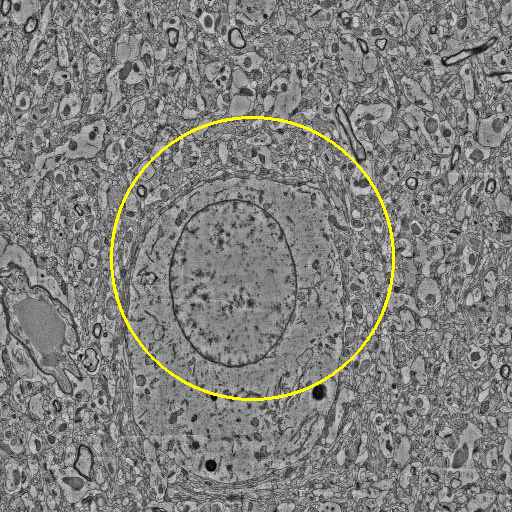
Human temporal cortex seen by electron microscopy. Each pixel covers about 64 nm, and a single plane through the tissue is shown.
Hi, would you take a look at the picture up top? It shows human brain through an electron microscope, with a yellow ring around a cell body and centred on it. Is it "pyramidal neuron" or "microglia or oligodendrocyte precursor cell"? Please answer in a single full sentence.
The best fit for the cell in the middle of the ring is a pyramidal neuron, I reckon.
